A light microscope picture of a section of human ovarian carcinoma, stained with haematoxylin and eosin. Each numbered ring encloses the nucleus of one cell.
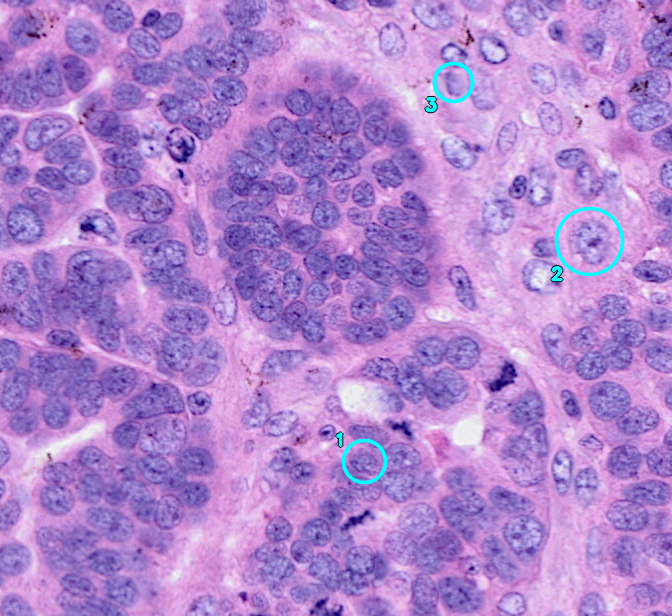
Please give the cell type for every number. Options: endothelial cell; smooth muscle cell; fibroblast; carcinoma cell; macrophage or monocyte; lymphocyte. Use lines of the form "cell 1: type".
cell 1: carcinoma cell
cell 2: fibroblast
cell 3: fibroblast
